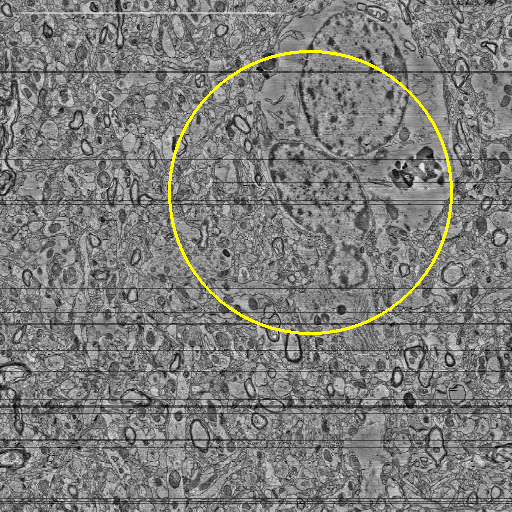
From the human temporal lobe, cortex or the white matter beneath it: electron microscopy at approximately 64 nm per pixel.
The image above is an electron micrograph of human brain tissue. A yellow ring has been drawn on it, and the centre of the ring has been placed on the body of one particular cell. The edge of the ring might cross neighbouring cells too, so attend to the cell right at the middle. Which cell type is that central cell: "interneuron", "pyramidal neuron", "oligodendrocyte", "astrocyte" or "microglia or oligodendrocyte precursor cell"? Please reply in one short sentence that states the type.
The central cell in the ring is a microglial cell or oligodendrocyte precursor cell.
